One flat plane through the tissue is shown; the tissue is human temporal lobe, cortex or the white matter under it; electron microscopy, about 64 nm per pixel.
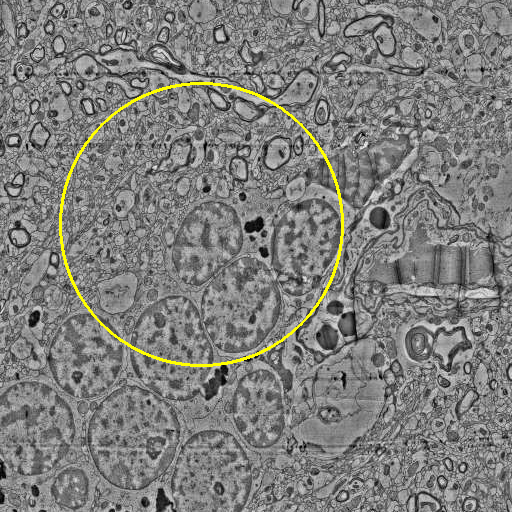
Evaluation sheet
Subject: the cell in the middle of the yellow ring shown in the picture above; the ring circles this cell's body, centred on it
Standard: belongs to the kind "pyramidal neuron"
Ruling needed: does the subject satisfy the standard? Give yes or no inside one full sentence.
No, the cell in the middle of the ring in the picture above belongs to some other kind.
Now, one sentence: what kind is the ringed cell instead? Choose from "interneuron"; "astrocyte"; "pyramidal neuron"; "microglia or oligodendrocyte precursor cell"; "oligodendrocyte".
The cell this ring marks is an oligodendrocyte.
